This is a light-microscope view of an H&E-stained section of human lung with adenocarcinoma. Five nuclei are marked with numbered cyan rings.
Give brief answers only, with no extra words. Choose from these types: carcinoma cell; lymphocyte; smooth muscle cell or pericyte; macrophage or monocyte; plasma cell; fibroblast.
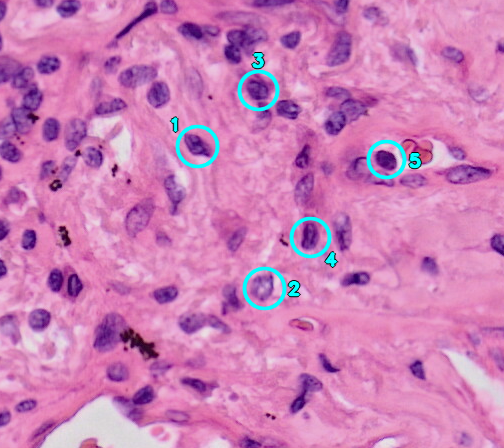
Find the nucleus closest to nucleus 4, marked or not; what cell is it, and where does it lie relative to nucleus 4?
a fibroblast; to the right of nucleus 4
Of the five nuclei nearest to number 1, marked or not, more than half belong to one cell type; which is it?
fibroblast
